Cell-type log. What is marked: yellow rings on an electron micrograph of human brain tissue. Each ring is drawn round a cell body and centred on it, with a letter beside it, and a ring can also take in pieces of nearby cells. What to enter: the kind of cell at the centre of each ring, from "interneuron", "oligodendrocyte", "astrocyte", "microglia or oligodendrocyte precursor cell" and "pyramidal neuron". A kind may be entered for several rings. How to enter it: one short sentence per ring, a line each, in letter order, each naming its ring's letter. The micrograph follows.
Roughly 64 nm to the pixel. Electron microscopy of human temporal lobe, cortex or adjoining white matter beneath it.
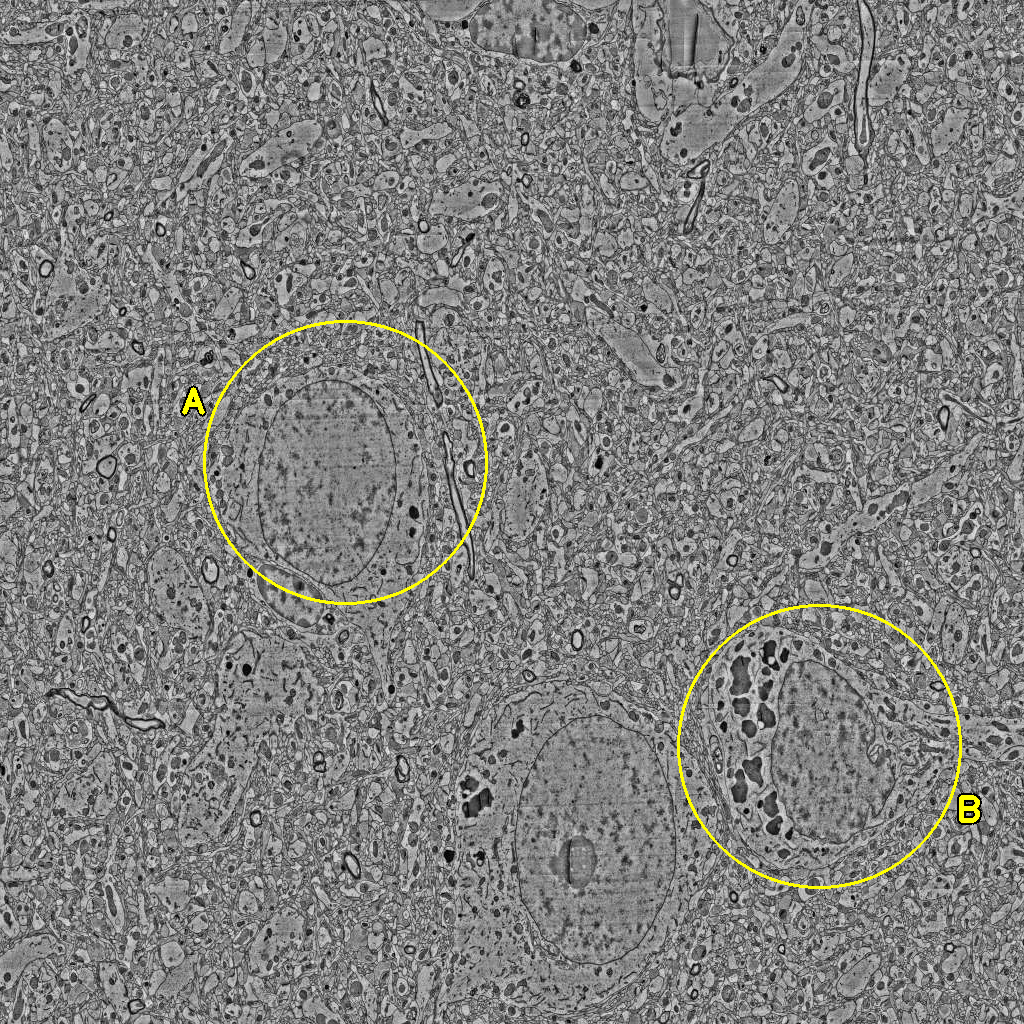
For ring A, the centre cell is a pyramidal neuron.
For ring B, the centre cell is an interneuron.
